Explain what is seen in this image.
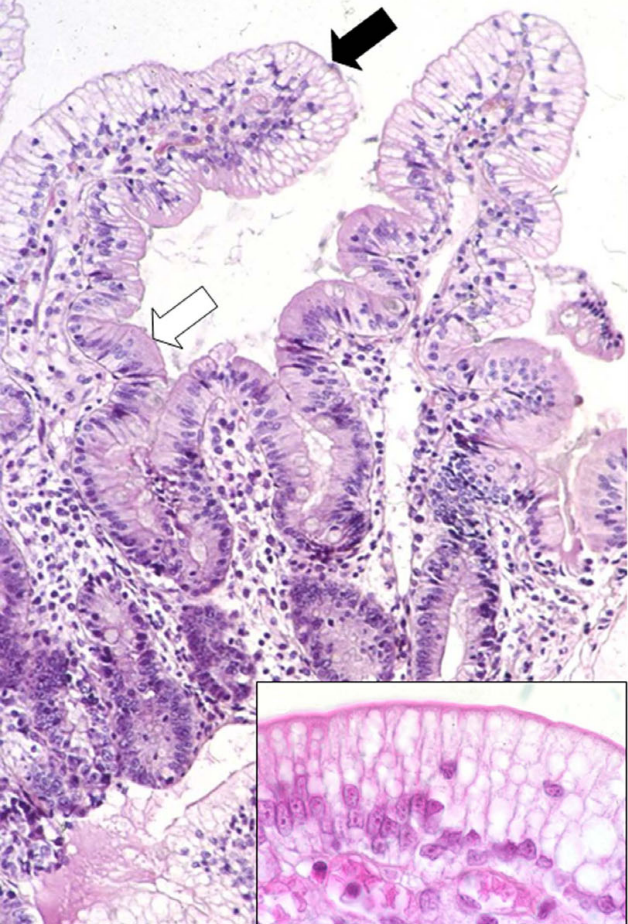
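This is small-intestinal mucosa with well preserved, tall villi lined by a single layer of columnar enterocytes over a cellular, purple-stained lamina propria. The enterocytes toward the villus tips have pale, clear, bubbly cytoplasm, while the epithelium lower down is denser and more purple. The inset shows columnar cells whose cytoplasm above the nuclei is filled with clear vacuoles beneath a pink apical border.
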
